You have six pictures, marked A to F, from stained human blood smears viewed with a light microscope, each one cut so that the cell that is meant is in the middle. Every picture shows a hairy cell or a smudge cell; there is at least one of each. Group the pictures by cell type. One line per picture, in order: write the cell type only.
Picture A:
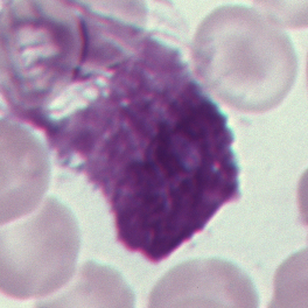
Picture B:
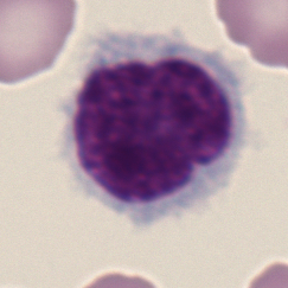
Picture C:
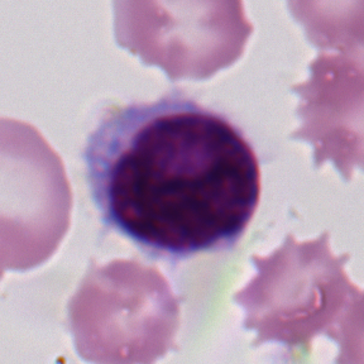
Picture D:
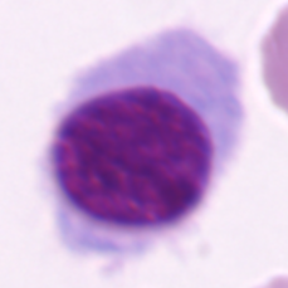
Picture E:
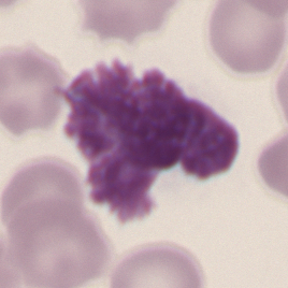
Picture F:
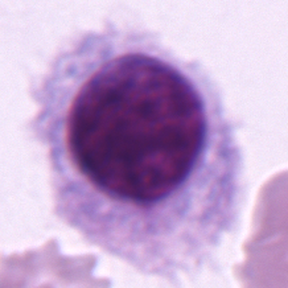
smudge cell
hairy cell
hairy cell
hairy cell
smudge cell
hairy cell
